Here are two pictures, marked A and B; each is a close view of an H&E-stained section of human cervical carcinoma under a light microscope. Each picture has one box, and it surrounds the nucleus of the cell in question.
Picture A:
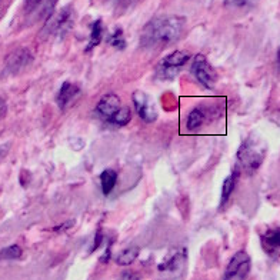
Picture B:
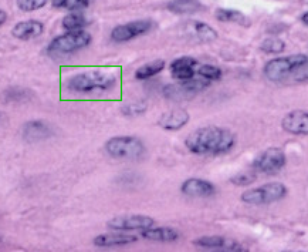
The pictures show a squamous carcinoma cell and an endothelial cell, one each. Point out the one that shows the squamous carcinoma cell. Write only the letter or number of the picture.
B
